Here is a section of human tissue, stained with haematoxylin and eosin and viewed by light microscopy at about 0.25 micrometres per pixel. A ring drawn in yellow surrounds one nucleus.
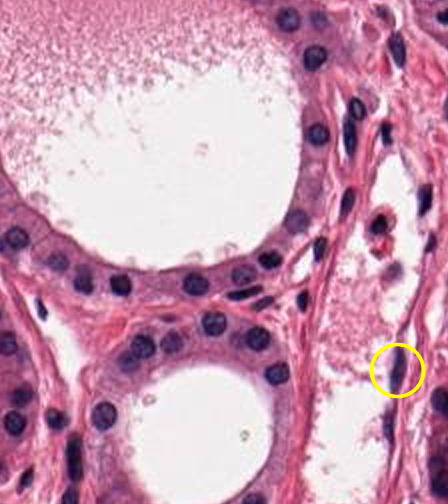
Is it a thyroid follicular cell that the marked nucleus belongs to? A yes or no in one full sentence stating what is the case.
No, the marked nucleus belongs to a supporting cell, not to a thyroid follicular cell.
